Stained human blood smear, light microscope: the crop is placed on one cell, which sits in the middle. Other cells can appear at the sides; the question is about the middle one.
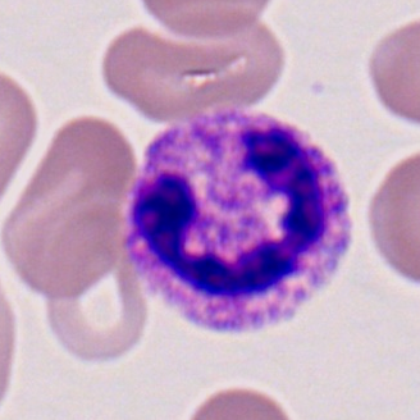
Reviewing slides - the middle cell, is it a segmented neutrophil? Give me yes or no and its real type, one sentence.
Yes, the cell sitting in the center is a segmented neutrophil.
